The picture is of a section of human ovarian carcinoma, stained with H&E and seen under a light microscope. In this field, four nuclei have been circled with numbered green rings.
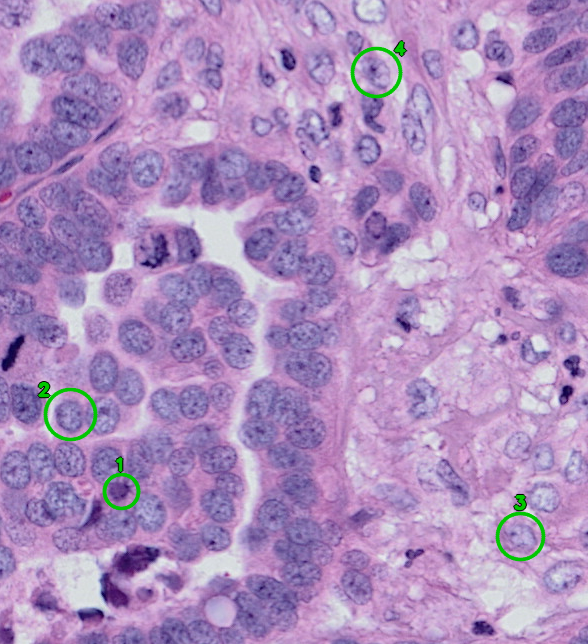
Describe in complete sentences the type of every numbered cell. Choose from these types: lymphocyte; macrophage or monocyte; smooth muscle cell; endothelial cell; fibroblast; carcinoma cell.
Cell 1 is a carcinoma cell, cell 2 is a carcinoma cell, cell 3 is a fibroblast and cell 4 is a fibroblast.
